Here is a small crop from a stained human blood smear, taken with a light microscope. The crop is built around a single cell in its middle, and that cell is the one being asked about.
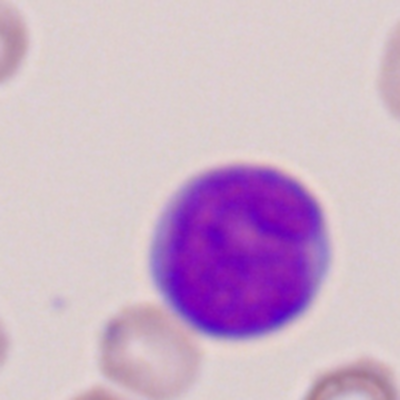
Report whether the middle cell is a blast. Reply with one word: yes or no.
yes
